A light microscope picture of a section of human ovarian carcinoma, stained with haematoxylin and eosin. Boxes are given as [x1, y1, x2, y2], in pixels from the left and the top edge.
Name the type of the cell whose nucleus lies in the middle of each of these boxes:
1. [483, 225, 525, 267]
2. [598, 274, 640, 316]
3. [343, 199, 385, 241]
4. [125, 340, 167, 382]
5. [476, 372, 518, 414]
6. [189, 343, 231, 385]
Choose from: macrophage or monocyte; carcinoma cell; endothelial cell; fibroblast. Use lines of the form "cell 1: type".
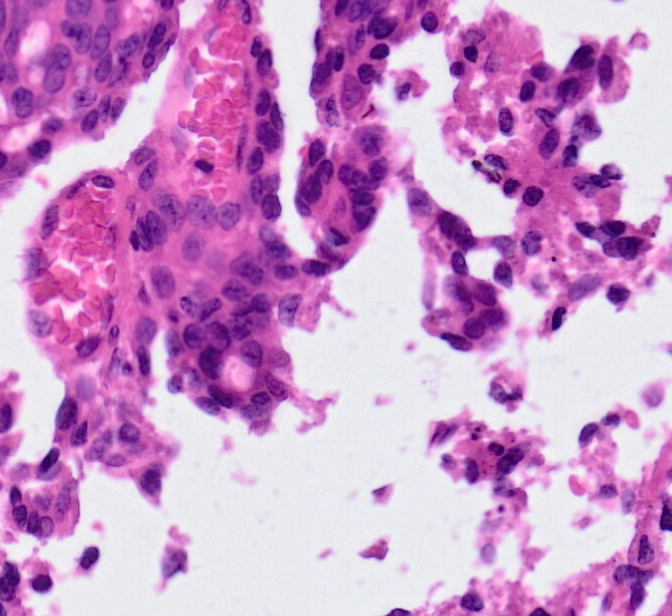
cell 1: carcinoma cell
cell 2: macrophage or monocyte
cell 3: carcinoma cell
cell 4: carcinoma cell
cell 5: macrophage or monocyte
cell 6: carcinoma cell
